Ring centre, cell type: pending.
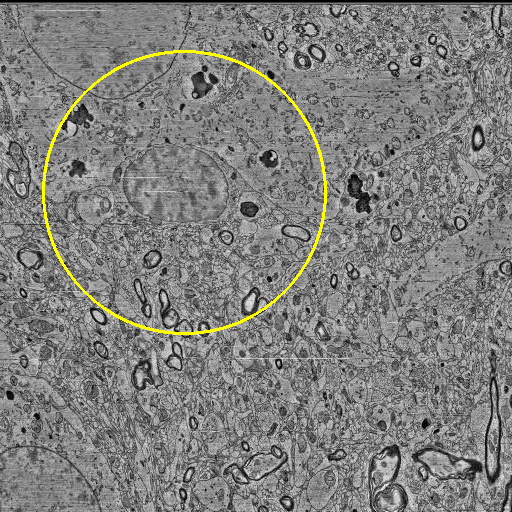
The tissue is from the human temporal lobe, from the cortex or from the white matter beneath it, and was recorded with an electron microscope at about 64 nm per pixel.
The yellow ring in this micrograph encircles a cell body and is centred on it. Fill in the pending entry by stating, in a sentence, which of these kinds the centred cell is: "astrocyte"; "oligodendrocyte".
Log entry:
The centred cell is recorded as an oligodendrocyte.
